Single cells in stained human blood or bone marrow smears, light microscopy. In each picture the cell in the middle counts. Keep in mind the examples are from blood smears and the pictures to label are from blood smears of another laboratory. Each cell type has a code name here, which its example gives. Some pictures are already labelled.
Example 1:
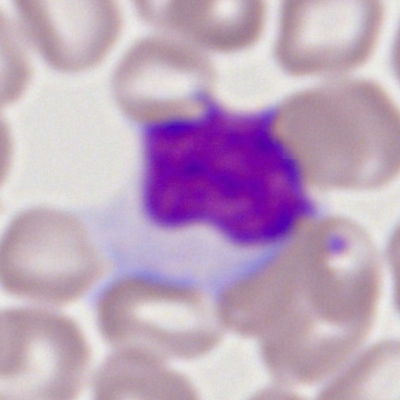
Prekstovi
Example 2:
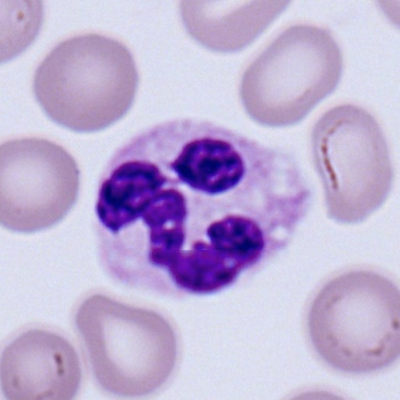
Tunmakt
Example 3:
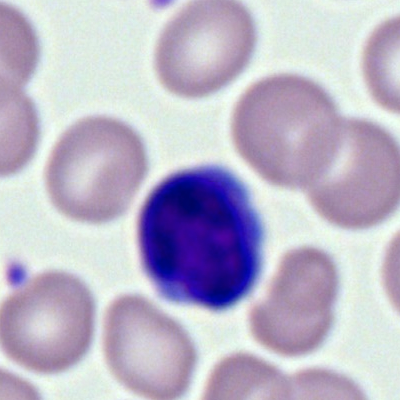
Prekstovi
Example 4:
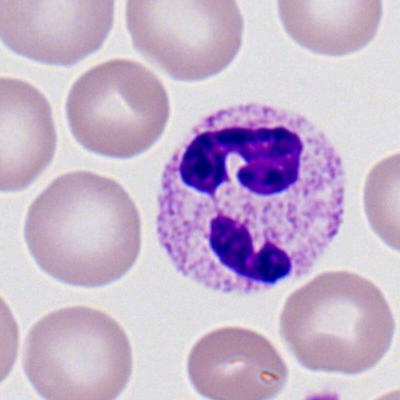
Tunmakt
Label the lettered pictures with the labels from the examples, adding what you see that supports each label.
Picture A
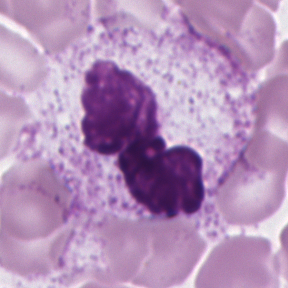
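Tunmakt. The nucleus forms two lobes joined at a narrow waist.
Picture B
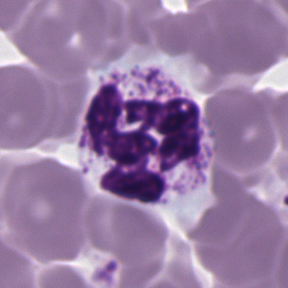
Tunmakt. The cytoplasm is pale and nearly colourless.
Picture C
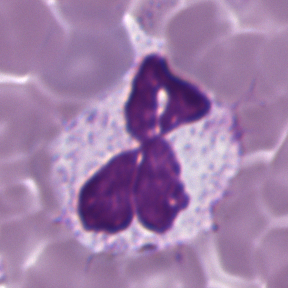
Tunmakt. A wide rim of pale, pinkish-white cytoplasm surrounds the nuclear lobes.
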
